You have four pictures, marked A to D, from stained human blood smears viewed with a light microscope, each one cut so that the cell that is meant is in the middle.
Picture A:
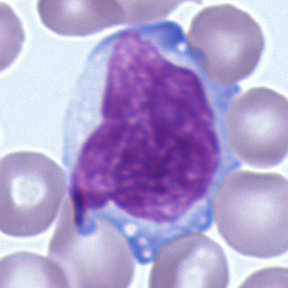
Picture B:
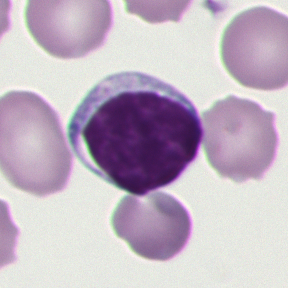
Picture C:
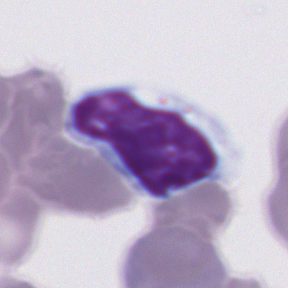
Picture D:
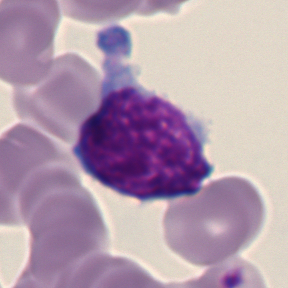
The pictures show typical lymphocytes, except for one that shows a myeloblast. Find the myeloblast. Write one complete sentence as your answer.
Picture A is the one that shows the myeloblast.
